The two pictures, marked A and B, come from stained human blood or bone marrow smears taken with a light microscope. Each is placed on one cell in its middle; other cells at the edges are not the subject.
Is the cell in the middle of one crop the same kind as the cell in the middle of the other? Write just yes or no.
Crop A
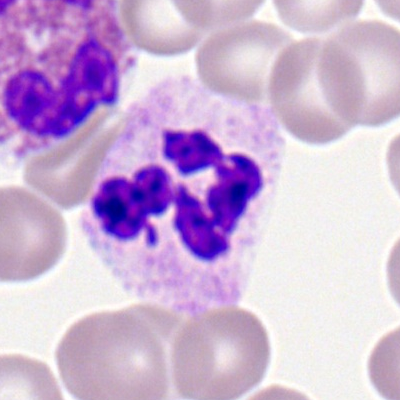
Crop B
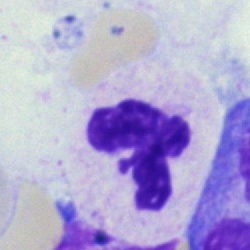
yes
